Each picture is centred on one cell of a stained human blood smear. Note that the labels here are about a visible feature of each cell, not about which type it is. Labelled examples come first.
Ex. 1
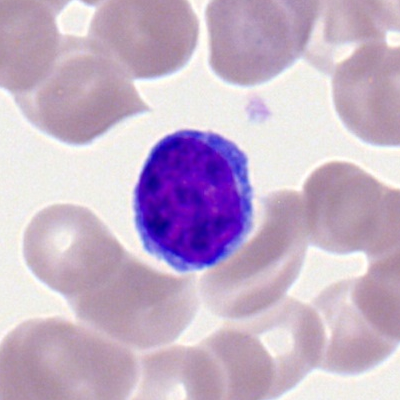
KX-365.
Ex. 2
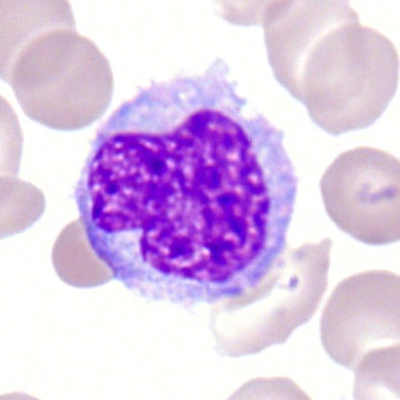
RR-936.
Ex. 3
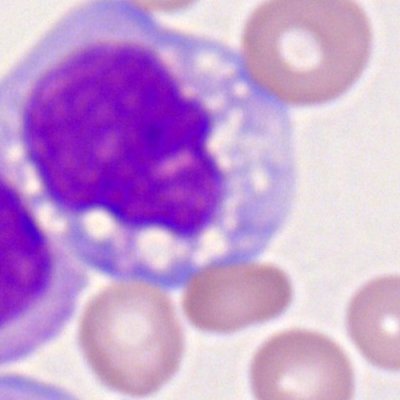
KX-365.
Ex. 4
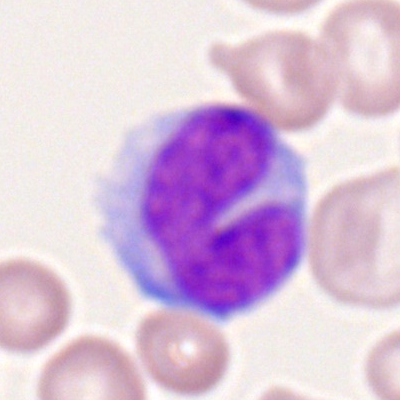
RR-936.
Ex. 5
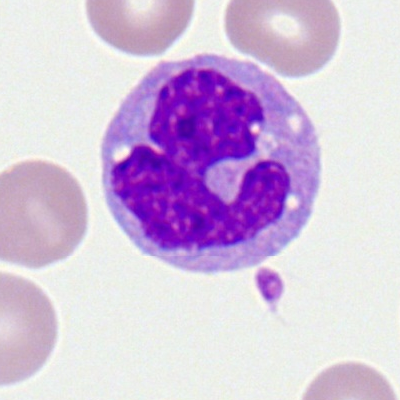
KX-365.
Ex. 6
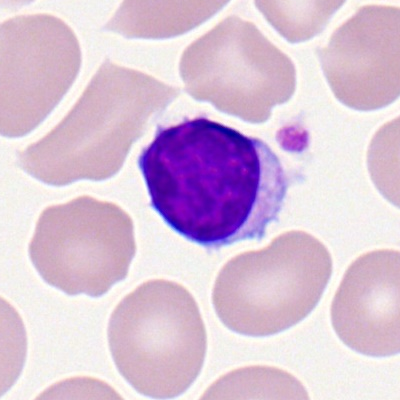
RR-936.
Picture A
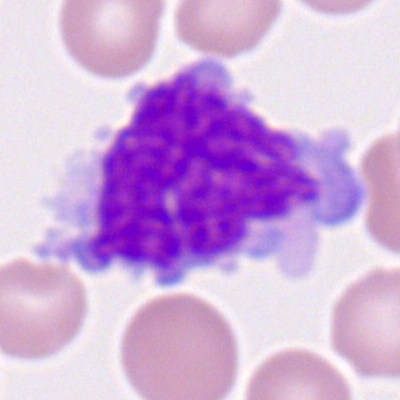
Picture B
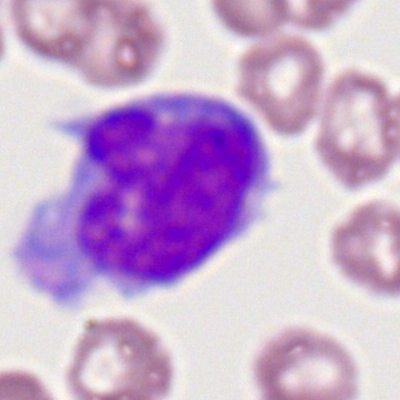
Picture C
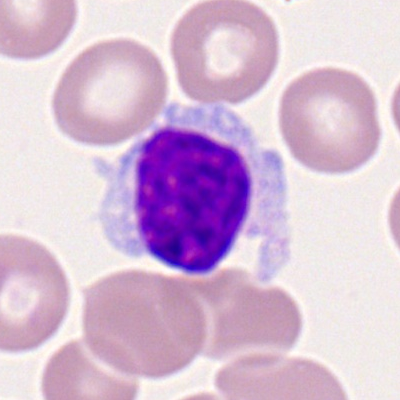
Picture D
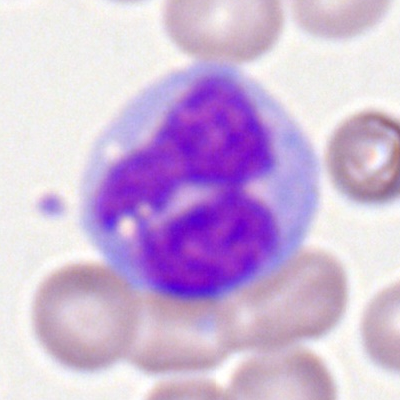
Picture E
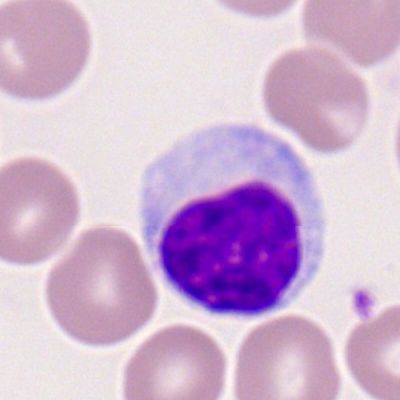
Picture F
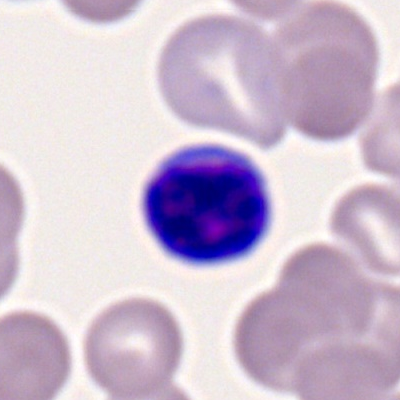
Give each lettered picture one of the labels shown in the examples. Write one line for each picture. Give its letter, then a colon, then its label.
A: RR-936.
B: RR-936.
C: RR-936.
D: KX-365.
E: KX-365.
F: KX-365.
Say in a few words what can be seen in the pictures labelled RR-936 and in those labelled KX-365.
RR-936: ragged outline or projections; KX-365: smooth outline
